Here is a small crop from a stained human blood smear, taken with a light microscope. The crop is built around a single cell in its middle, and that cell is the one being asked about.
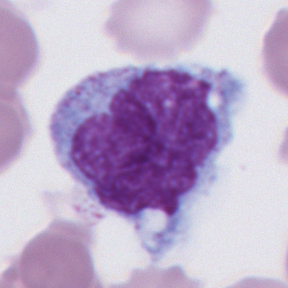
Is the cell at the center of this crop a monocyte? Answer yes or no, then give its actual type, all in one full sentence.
Yes, the cell in the middle is rightly called a monocyte.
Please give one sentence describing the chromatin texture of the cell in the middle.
The chromatin is fine; coarse clumps are not a feature here.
